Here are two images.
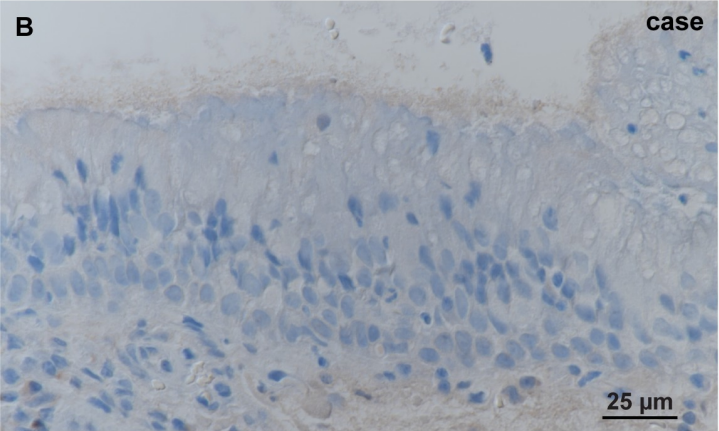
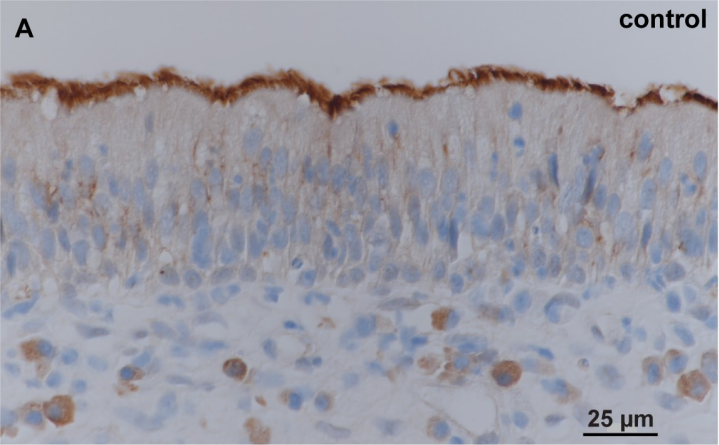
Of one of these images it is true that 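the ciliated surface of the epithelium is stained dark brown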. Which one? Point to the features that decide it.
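The second image. First image: the epithelial surface is pale with no brown band. Second image: a continuous dark brown band lines the epithelial surface.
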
